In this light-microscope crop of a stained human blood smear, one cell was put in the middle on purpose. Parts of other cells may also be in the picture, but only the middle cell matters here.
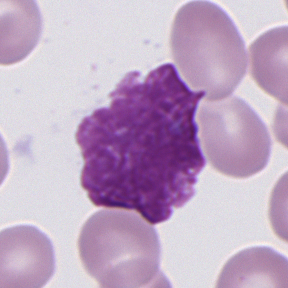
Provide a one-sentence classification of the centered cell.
Within this crop, a smudge cell occupies the central position.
